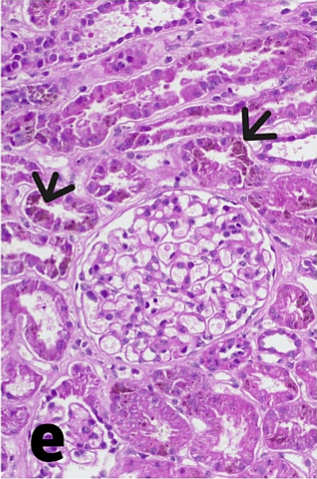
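This is kidney cortex with a glomerulus in the centre surrounded by tubules. The glomerulus shows open capillary loops without crowding of nuclei, inside a thin capsule. Several tubules contain granular golden-brown pigment in their lining cells, standing out against the pink of the neighbouring tubules. Long tubules running across the upper part of the field show the same irregular, injured lining.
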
